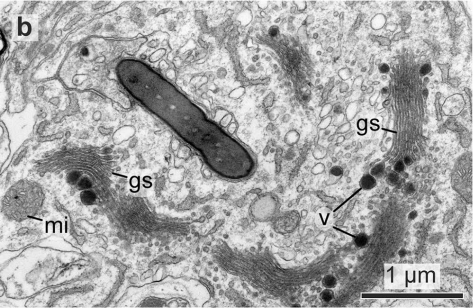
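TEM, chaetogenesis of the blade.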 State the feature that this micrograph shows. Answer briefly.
Electron-dense chaetal material.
